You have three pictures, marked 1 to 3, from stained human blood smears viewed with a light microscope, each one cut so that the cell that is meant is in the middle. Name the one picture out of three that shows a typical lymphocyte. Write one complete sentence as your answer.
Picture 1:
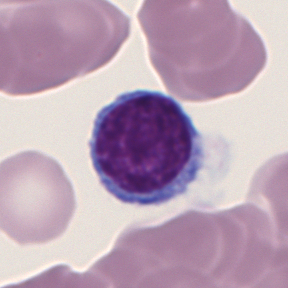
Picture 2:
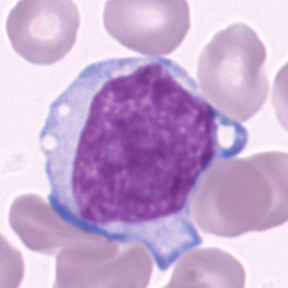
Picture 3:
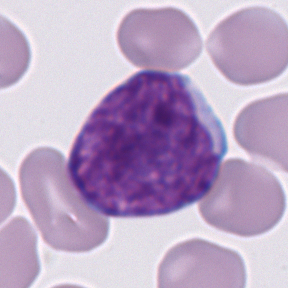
The typical lymphocyte is the one in picture 1.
